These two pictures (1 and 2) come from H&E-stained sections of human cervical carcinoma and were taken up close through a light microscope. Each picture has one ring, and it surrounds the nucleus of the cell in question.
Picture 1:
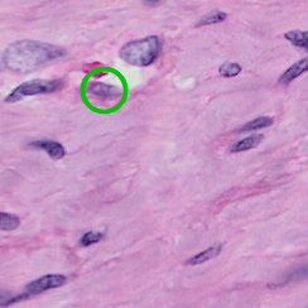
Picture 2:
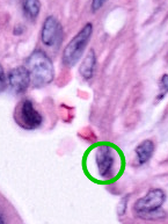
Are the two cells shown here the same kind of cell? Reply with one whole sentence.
Yes, both cells are endothelial cells.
